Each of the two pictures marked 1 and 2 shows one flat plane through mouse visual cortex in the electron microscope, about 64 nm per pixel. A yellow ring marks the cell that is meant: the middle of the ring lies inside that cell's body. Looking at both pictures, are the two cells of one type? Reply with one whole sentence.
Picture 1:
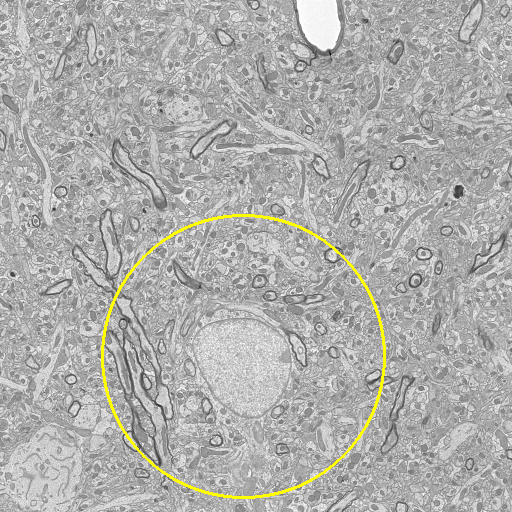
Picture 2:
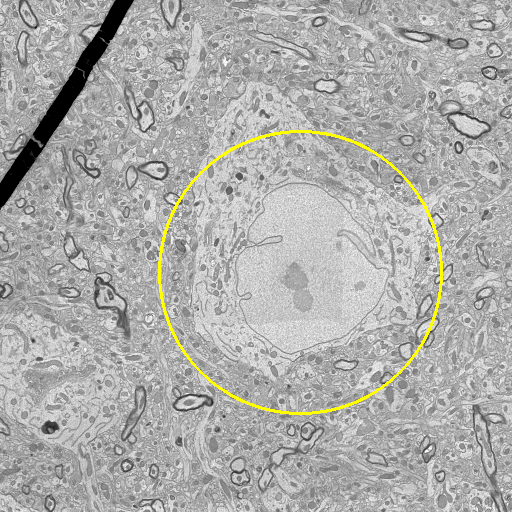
No. Picture 1 shows an astrocyte, but picture 2 shows an excitatory neuron.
